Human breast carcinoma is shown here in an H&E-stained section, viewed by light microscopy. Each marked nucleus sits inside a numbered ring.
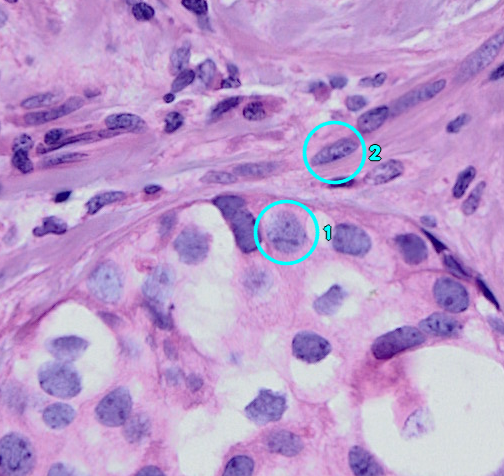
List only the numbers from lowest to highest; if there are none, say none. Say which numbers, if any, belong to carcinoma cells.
1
